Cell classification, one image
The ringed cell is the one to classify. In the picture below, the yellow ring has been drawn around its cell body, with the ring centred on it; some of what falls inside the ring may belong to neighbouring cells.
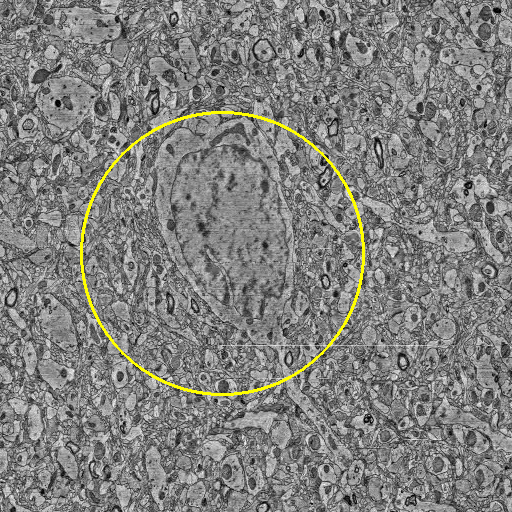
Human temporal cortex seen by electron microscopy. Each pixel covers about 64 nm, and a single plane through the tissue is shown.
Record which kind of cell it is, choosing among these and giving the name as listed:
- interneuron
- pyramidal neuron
interneuron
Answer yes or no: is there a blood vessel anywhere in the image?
No, there is none.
